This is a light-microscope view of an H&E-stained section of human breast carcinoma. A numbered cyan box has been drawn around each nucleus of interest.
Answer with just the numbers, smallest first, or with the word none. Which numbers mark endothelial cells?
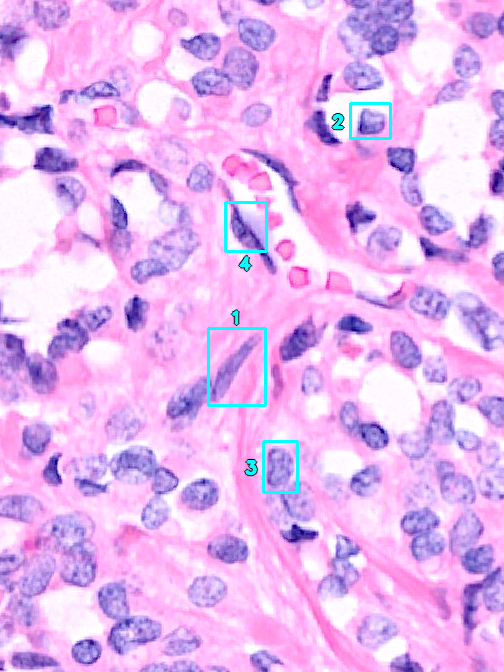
1, 4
